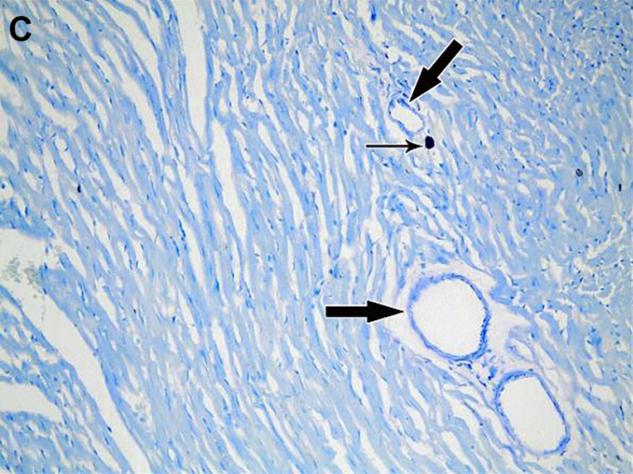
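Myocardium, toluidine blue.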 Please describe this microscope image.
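Pale blue muscle fibres fill the field in wavy parallel bundles, interrupted by round empty lumens lined by a thin wall; beside a small one lies a single compact cell stained deep violet. The round lumens are intramyocardial blood vessels, and the dark violet cell near them is a mast cell in the perivascular tissue.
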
